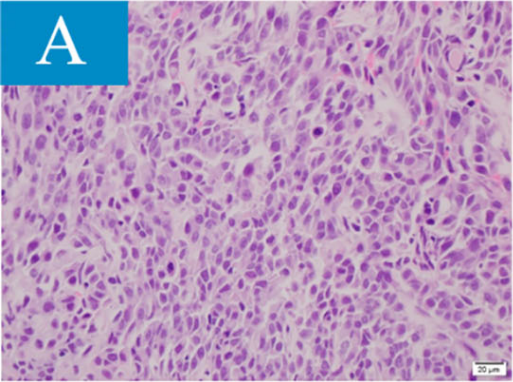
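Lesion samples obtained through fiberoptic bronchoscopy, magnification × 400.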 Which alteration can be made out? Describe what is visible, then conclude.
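Solid sheet-like patterns. Cells are packed together in a continuous sheet without glands or lumens. Little stroma separates the cells.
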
